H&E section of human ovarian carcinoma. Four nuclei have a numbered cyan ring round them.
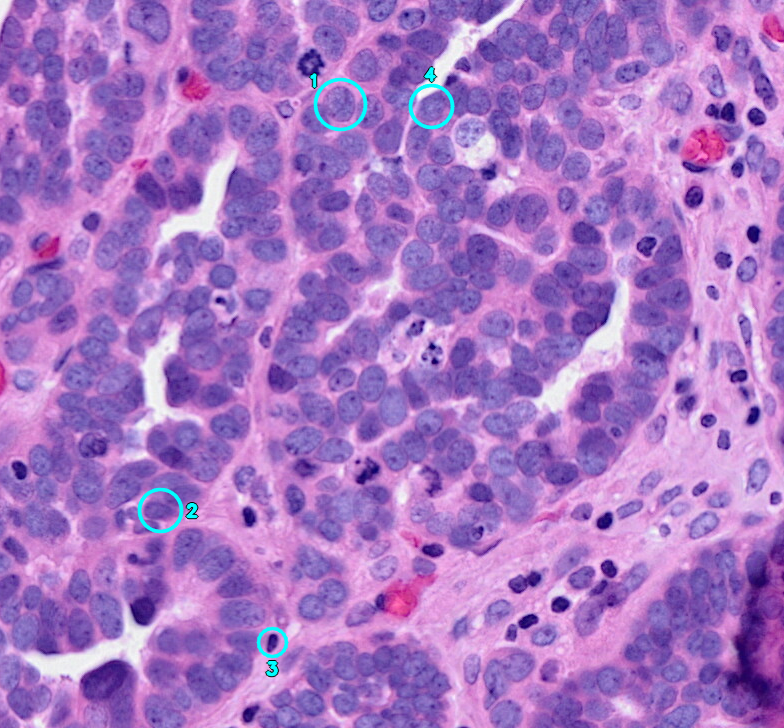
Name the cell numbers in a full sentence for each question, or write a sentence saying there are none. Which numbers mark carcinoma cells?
The cells bearing the numbers 1, 2 and 4 are carcinoma cells.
